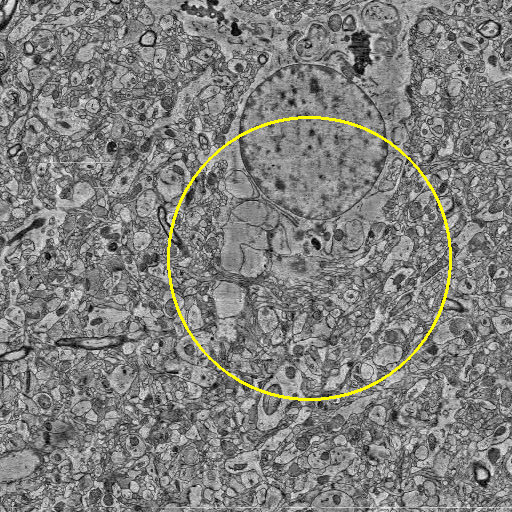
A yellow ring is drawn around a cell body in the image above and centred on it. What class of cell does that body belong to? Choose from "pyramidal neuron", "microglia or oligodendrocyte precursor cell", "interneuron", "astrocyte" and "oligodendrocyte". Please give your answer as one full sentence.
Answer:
The yellow ring above is centred on the cell body of an oligodendrocyte.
